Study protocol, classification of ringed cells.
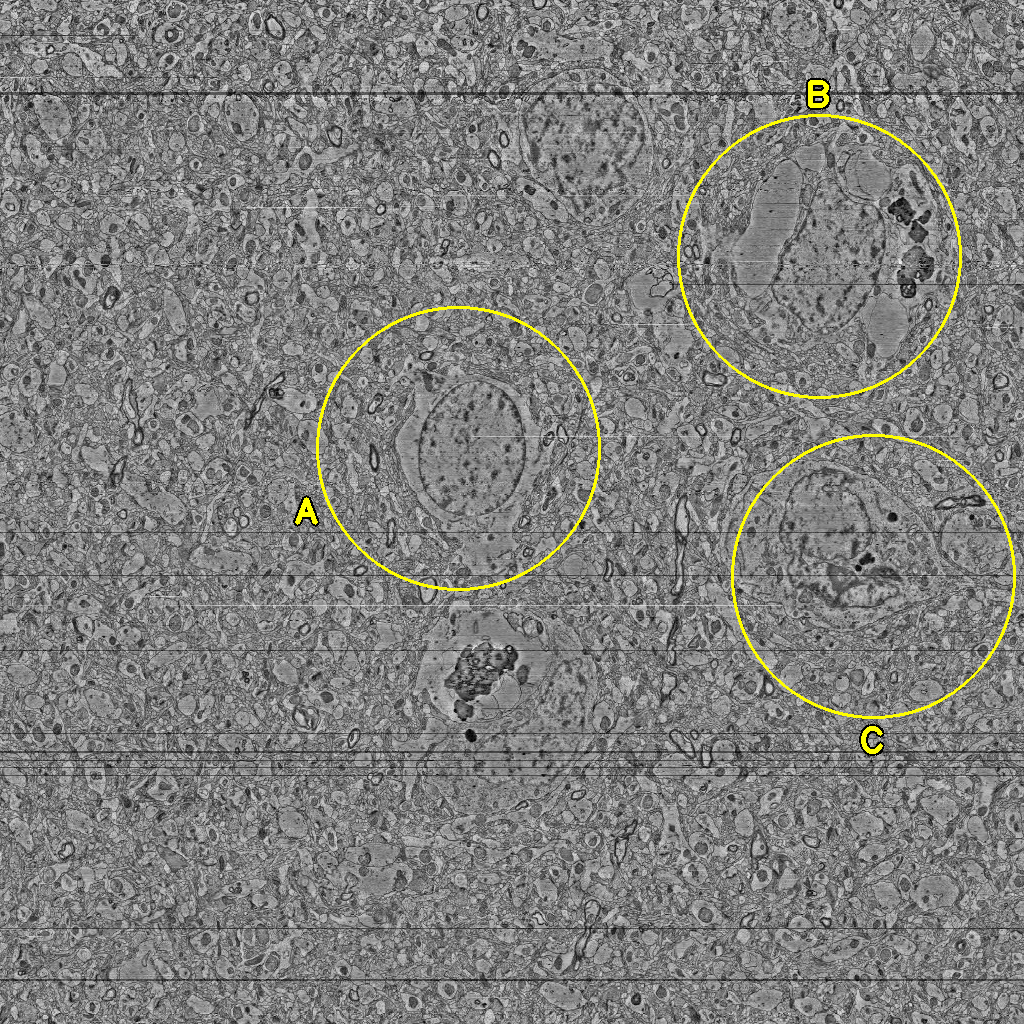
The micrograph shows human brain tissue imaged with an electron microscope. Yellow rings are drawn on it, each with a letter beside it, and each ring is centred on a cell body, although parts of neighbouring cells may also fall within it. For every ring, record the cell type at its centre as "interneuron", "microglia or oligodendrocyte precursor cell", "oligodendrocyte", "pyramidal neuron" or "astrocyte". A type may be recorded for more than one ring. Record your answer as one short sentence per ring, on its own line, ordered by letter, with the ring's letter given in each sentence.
Ring A has been centred on an astrocyte.
Ring B has been centred on an astrocyte.
Ring C has been centred on an interneuron.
